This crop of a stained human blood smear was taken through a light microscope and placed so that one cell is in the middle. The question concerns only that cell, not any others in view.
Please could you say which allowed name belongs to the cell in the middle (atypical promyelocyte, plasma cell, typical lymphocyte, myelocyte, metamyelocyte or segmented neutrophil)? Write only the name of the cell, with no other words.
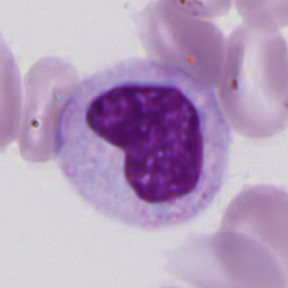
metamyelocyte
